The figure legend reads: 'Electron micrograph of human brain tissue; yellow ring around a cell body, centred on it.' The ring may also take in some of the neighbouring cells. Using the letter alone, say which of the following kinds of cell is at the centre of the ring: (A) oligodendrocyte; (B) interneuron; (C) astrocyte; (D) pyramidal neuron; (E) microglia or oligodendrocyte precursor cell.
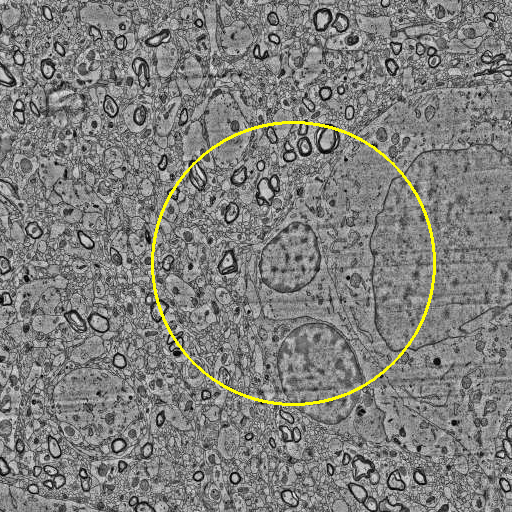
E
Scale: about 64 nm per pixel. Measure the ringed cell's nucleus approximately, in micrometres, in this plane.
In this plane, the nucleus of the cell at the centre of the ring measures about 5 by 4 micrometres.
